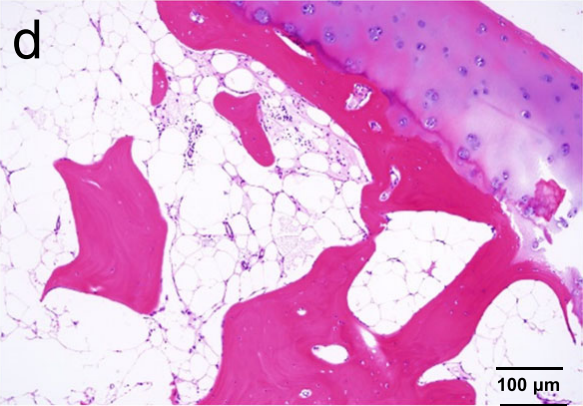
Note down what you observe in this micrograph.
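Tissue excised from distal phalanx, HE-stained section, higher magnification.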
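Hyaline cartilage and bone tissue. At the upper right is a cap of hyaline cartilage with a smooth, glassy, pale purple matrix. The spaces between the trabeculae are filled mostly with fatty marrow, seen as empty-looking polygonal fat cells with thin walls. Small clusters of darker cells lie scattered within the fat.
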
